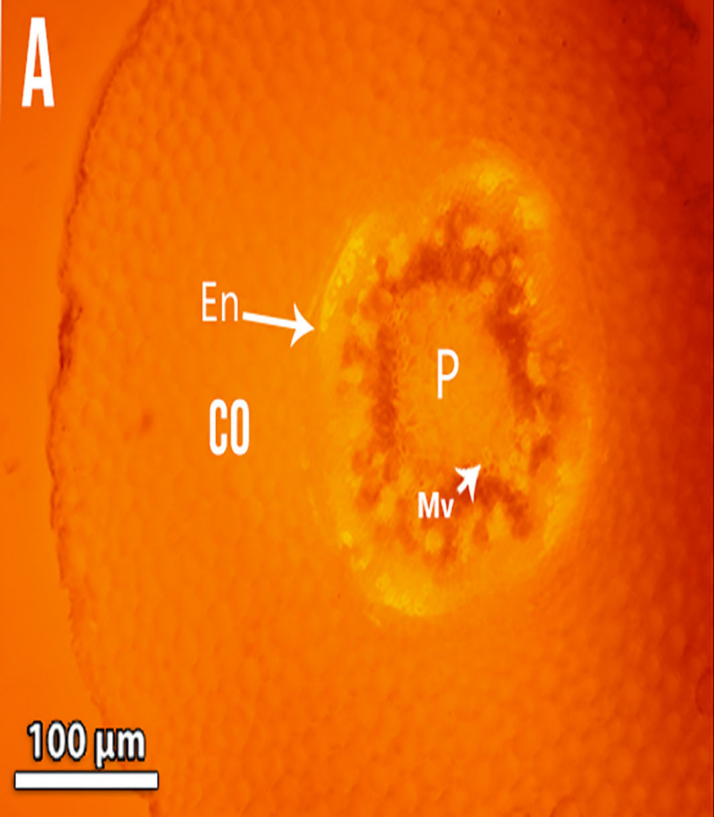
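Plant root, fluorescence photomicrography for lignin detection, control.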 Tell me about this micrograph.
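A cross-section of a root shows a broad cortex of small rounded parenchyma cells around a central vascular cylinder. Within the cylinder a dark, irregular ring of vascular tissue with metaxylem vessels encloses a pale central pith, and the thin endodermis at its edge glows only faintly.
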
